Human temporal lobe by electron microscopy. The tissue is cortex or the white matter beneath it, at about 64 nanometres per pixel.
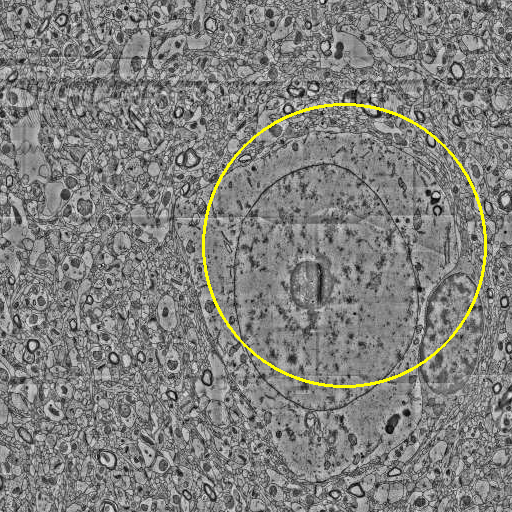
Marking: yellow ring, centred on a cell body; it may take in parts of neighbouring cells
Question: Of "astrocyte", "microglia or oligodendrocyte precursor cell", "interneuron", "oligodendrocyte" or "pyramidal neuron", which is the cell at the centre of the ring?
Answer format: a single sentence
The ring surrounds the body of a pyramidal neuron.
